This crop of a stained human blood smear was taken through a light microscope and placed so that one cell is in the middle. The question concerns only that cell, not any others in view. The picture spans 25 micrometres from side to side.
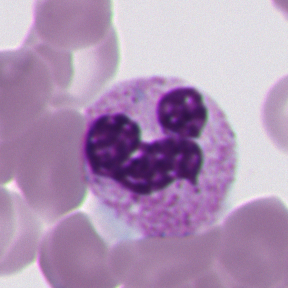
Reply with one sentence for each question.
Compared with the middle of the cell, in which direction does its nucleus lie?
Seen from the middle of the cell, the nucleus lies toward the upper left.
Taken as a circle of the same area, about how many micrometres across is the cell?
Taken as a circle, the cell has a diameter of about 14 micrometres.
